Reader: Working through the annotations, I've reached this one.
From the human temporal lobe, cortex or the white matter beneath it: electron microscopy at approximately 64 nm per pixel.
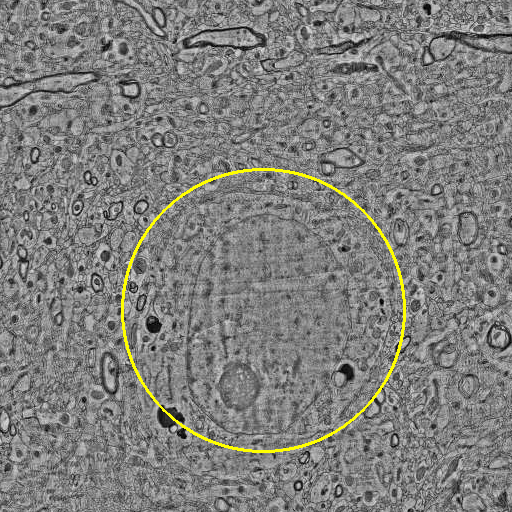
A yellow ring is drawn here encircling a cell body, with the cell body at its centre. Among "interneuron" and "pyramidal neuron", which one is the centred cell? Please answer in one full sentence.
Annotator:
The cell body at the centre of the yellow ring in this image belongs to a pyramidal neuron.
